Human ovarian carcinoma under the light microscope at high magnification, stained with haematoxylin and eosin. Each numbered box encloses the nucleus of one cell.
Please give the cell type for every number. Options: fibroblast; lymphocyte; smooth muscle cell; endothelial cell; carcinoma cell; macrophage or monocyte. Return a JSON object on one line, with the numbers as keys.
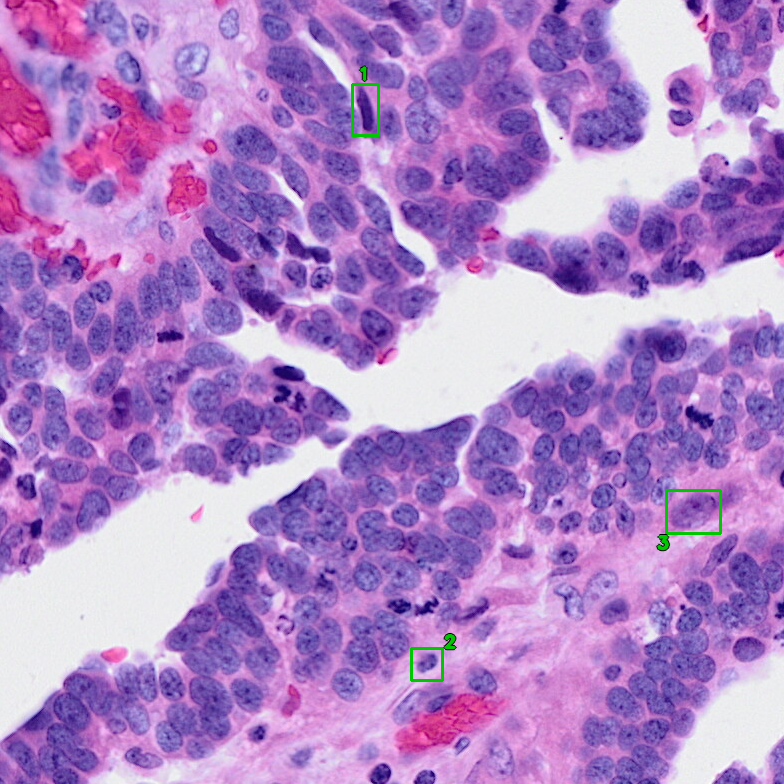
{"1": "carcinoma cell", "2": "lymphocyte", "3": "fibroblast"}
